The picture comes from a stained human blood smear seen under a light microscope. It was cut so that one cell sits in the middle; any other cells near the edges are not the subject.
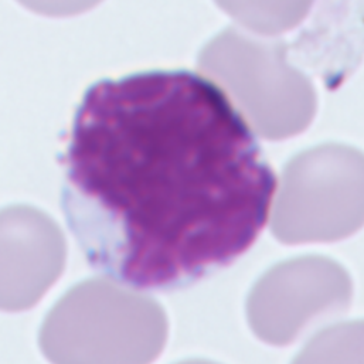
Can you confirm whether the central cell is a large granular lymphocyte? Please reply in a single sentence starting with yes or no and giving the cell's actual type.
Yes, the centred cell is categorised as a large granular lymphocyte.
